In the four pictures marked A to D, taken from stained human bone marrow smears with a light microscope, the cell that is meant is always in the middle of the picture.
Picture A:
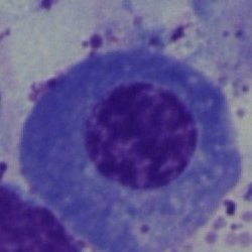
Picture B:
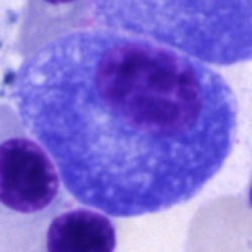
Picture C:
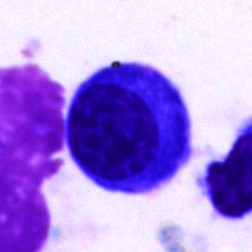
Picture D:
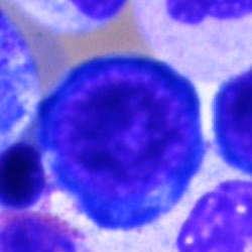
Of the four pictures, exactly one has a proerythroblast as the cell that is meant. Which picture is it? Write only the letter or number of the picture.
D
